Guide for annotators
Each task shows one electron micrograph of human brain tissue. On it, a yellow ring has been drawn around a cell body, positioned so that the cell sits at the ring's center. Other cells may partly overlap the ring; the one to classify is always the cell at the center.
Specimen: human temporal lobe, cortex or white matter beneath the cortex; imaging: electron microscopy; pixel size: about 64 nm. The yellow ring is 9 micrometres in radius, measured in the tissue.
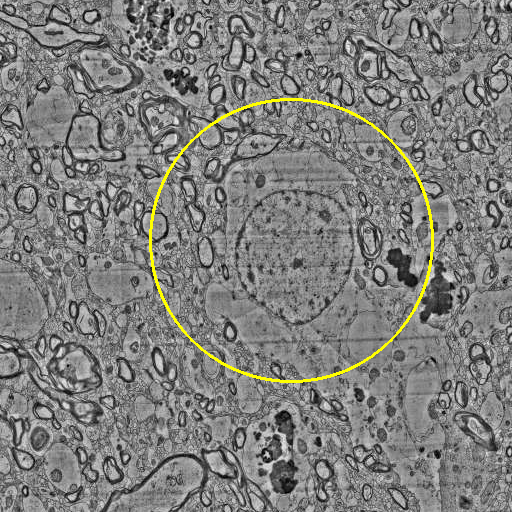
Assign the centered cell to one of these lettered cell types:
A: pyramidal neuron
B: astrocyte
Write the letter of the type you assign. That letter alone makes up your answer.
B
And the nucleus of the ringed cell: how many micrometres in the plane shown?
The nucleus comes to roughly 9 by 7 micrometres in this plane.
